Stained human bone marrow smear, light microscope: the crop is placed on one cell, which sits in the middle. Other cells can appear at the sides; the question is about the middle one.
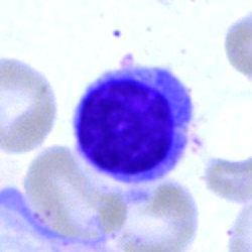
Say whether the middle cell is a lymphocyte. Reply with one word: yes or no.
yes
